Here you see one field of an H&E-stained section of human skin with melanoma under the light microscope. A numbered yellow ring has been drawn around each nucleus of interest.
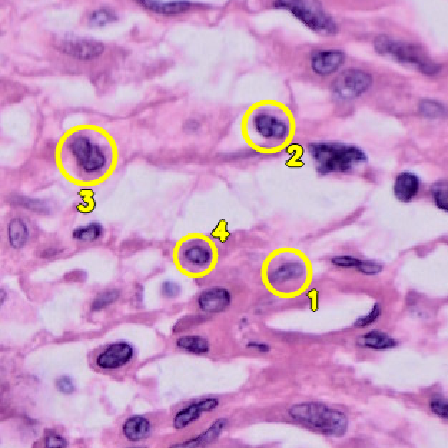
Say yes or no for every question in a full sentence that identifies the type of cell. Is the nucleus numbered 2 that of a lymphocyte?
Yes, the cell that the number 2 labels is a lymphocyte.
